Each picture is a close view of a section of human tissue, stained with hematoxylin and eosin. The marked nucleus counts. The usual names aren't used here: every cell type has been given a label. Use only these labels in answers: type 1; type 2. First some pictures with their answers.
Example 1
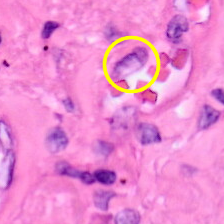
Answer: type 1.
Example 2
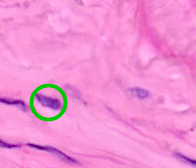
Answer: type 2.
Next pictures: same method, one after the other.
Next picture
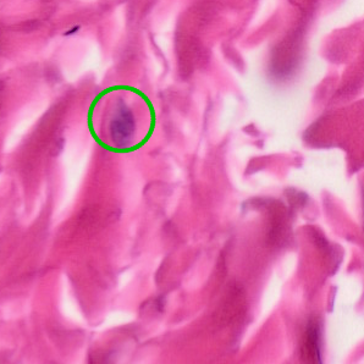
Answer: type 2.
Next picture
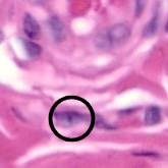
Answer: type 1.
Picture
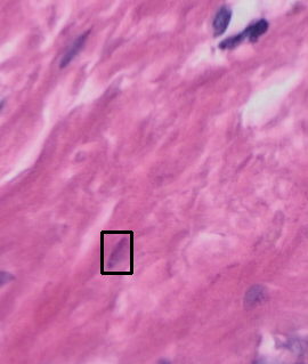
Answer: type 2.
